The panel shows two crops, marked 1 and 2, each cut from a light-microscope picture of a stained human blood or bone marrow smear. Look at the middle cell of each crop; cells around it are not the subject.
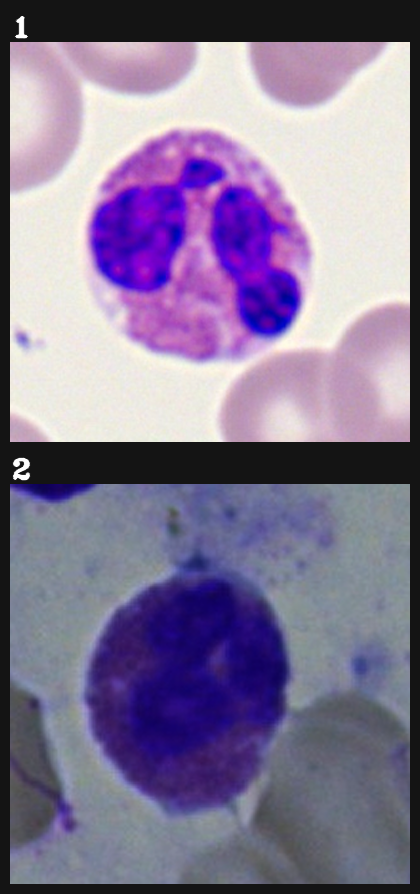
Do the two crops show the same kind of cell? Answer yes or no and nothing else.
yes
